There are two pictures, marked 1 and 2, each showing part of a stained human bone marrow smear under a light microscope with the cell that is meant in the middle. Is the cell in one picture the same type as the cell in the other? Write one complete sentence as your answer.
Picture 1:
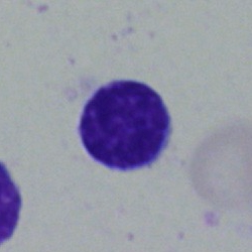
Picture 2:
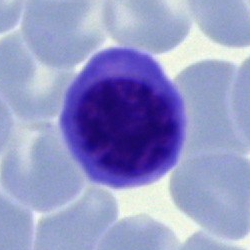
No. Picture 1 shows a lymphocyte, but picture 2 shows an erythroblast.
